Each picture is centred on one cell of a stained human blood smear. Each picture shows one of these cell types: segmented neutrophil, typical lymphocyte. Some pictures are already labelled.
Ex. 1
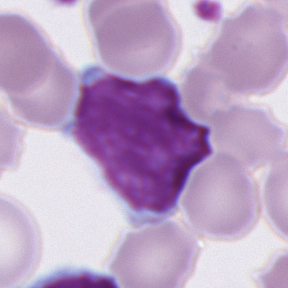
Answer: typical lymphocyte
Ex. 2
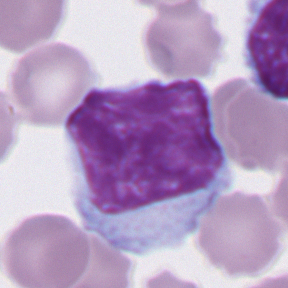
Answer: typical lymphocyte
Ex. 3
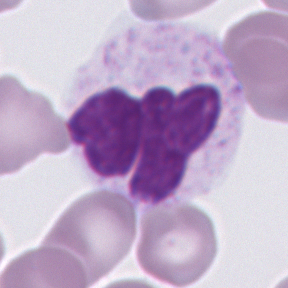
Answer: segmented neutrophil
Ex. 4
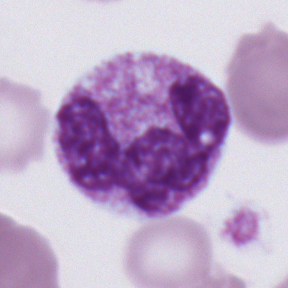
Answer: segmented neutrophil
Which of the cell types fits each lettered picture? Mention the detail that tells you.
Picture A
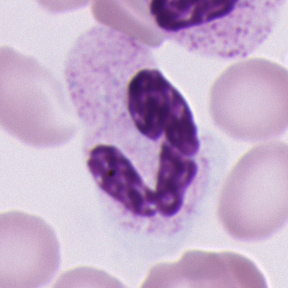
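Label: segmented neutrophil. The cytoplasm is plentiful and pale pinkish-lilac.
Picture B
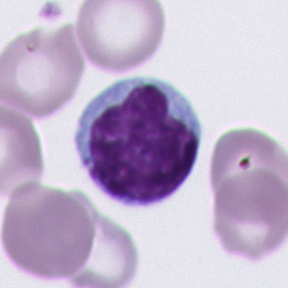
Label: typical lymphocyte. The cytoplasm is a narrow pale blue rim around the nucleus.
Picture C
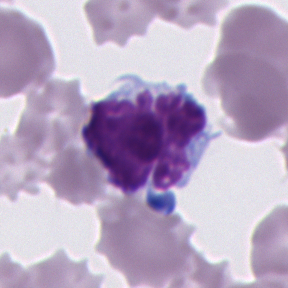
Label: typical lymphocyte. A scant rim of pale blue cytoplasm shows mainly on the right side of the cell.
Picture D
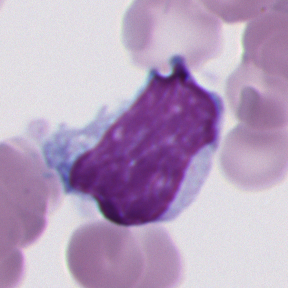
Label: typical lymphocyte. The nucleus is an angular, roughly four-sided mass that fills most of the cell.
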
